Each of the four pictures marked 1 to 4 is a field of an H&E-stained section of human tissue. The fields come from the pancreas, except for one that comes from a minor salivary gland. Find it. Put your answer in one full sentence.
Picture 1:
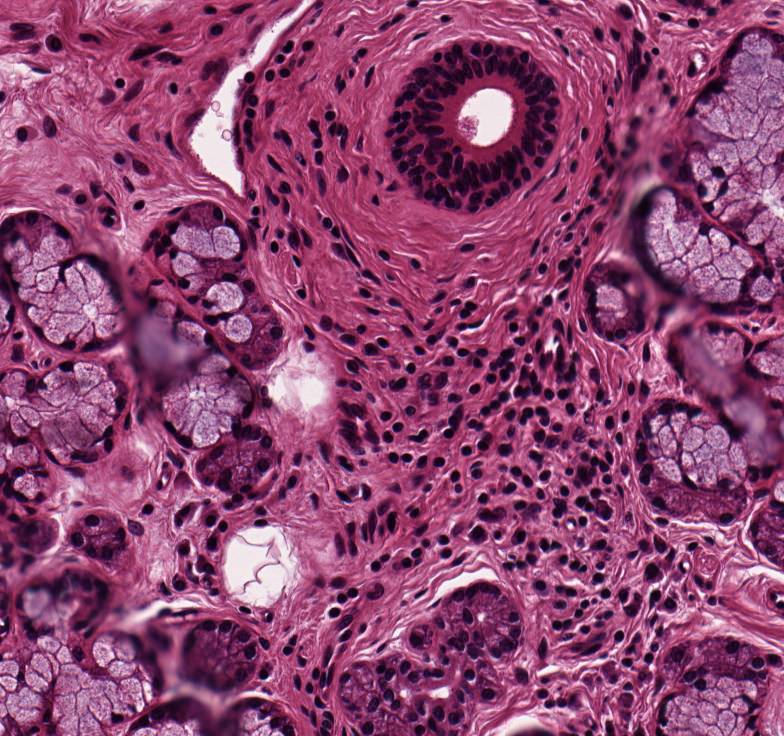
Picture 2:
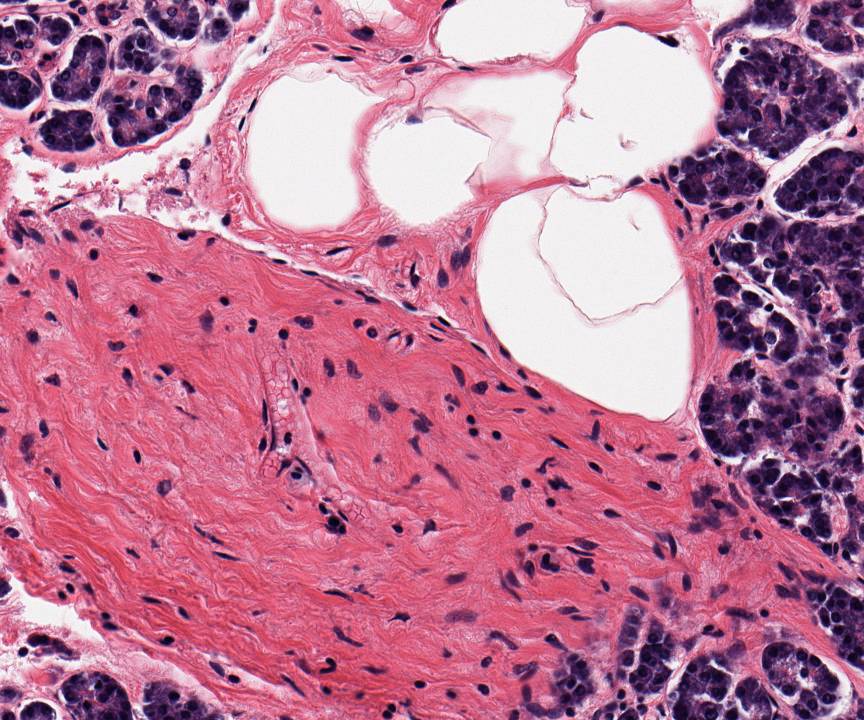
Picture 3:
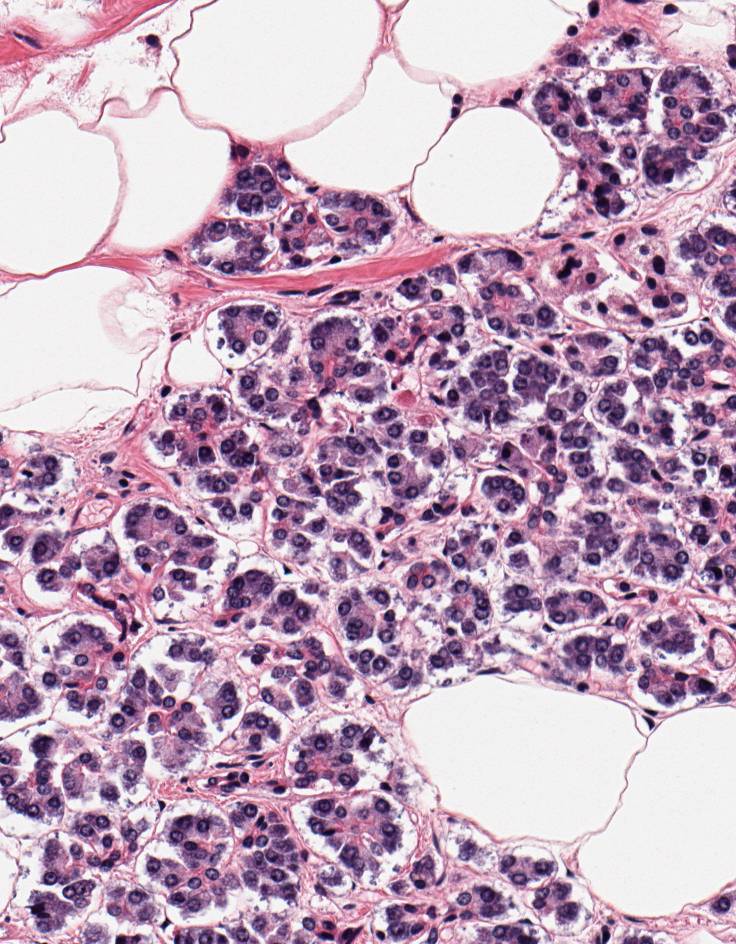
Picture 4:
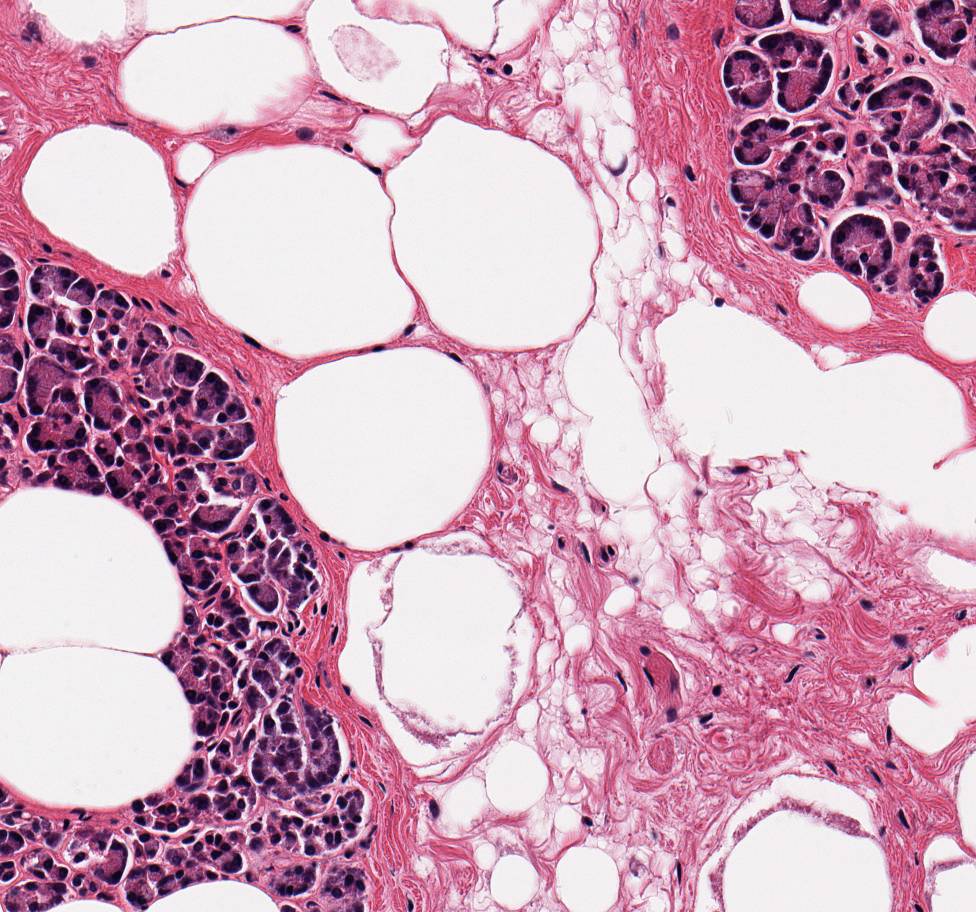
Picture 1 is the field that comes from a minor salivary gland.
